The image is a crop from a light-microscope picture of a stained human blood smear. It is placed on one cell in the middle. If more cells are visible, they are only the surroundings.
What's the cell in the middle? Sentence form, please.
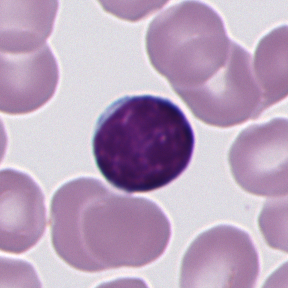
Answering briefly, the cell in the middle is a typical lymphocyte.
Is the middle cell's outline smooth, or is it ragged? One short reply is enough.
From every side, the cell boundary is smooth and free of projections.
